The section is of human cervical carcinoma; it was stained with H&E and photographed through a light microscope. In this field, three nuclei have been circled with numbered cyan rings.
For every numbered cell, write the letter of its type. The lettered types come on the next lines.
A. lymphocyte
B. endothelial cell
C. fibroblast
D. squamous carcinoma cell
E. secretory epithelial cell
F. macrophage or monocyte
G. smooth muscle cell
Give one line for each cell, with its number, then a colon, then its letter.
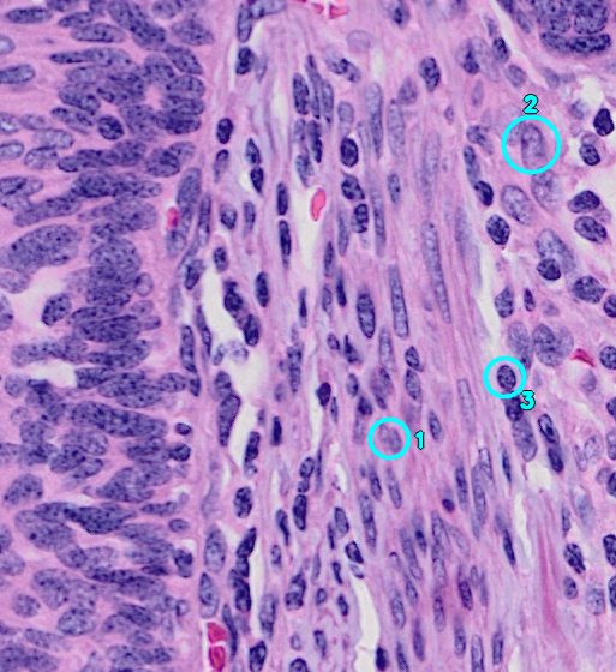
1: G
2: B
3: A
